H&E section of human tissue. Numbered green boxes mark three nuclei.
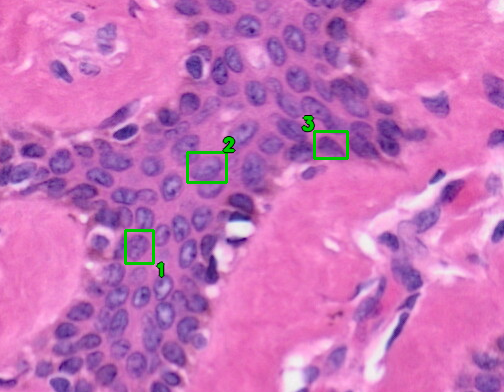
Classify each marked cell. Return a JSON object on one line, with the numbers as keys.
{"1": "basal keratinocyte", "2": "suprabasal keratinocyte", "3": "basal keratinocyte"}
